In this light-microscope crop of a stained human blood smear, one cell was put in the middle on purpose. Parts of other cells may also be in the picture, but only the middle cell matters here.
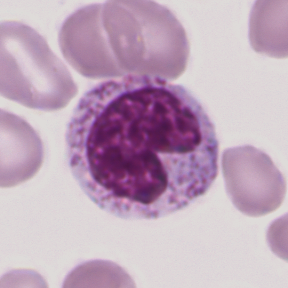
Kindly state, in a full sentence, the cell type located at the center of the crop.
In the crop, the cell of interest at the centre is a band neutrophil.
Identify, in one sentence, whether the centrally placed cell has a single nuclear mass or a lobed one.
If you check the nucleus, you will find one compact mass, round, oval or kidney-shaped.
